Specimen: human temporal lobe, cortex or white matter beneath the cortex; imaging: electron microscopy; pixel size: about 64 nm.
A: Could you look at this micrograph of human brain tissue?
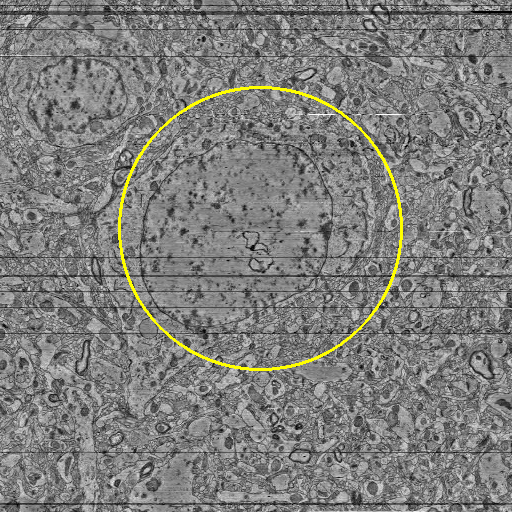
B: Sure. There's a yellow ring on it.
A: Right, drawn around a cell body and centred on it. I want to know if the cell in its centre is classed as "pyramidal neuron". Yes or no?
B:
yes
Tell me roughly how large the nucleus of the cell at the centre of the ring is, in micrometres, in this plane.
In this plane the nucleus measures roughly 14 by 12 micrometers.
